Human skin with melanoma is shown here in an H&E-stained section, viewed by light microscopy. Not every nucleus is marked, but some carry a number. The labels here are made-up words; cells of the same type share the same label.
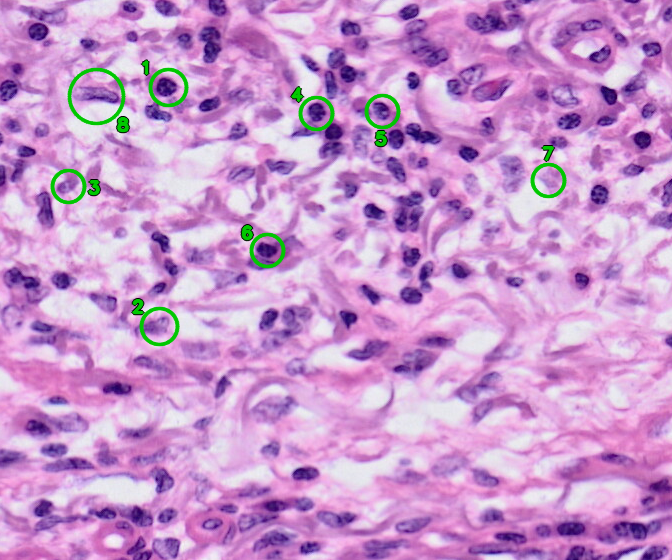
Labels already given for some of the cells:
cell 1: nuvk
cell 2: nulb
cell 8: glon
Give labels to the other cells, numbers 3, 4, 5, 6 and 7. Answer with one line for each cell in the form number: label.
3: glon
4: nuvk
5: nuvk
6: nuvk
7: glon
